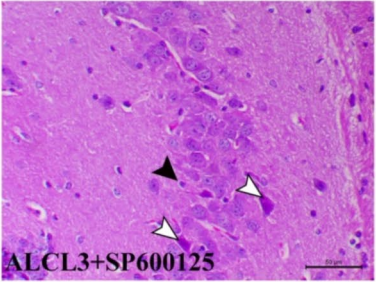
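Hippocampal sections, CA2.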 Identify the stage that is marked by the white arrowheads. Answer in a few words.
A: ischemic neurons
